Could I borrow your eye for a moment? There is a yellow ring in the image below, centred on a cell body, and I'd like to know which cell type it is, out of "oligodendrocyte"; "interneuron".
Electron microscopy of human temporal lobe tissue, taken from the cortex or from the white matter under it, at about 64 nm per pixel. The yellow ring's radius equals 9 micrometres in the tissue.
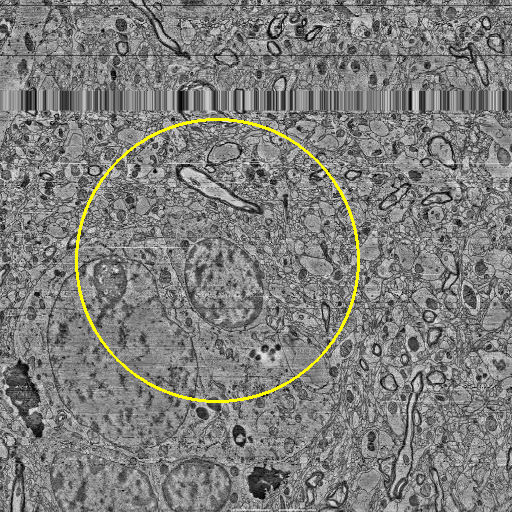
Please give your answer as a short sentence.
The cell body at the centre is that of an oligodendrocyte.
